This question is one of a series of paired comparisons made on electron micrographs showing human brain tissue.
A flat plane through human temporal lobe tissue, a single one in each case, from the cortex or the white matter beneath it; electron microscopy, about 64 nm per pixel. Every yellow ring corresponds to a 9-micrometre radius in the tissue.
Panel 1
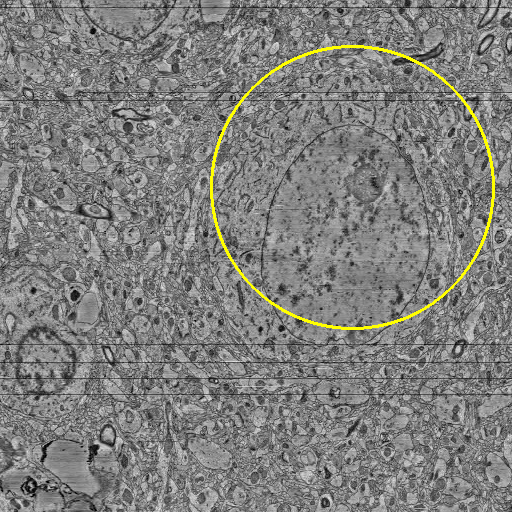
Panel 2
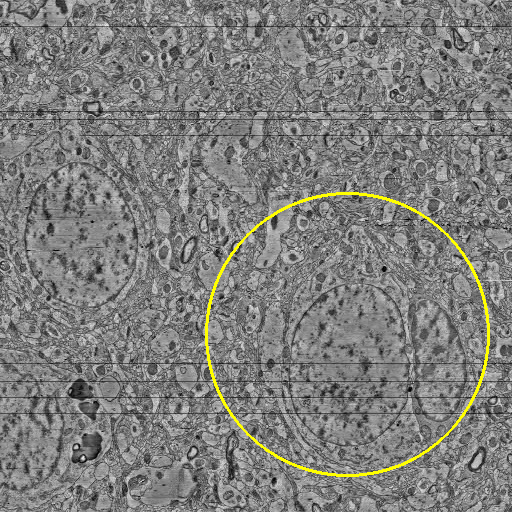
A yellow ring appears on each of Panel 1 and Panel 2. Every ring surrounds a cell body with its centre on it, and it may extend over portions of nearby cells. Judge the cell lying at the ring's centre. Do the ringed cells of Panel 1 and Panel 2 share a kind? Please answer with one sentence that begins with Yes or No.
Yes, the ring-centre cell in Panel 1 and the one in Panel 2 are of one kind.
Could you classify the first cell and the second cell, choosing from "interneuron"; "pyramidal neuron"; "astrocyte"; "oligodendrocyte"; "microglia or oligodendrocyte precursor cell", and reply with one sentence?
The second cell is a pyramidal neuron, just as the first is.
